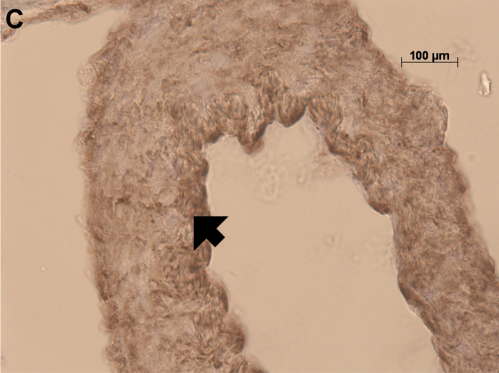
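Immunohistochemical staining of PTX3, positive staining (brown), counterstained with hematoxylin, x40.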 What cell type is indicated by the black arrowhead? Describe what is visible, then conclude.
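Endothelial cells. The arrowhead points at the innermost lining of the vessel lumen. The lining at the lumen edge forms a thin wavy layer. The lining is stained brown.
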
